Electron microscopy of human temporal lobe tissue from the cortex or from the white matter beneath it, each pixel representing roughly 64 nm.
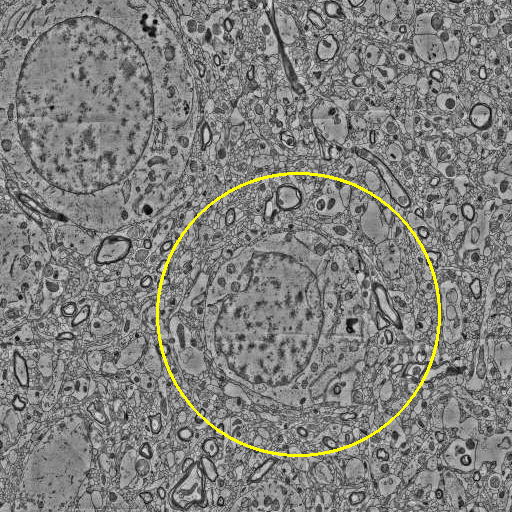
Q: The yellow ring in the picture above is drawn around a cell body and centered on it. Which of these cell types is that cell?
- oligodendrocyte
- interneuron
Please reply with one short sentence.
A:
The cell body at the ring's center belongs to an interneuron.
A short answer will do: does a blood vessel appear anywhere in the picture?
No, there is no blood vessel.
